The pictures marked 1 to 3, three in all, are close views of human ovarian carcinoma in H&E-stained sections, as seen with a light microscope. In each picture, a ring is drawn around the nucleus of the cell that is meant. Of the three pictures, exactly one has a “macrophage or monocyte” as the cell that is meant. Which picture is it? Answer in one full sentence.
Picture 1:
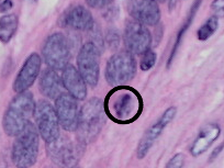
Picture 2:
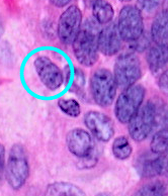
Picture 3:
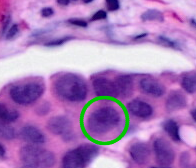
The cell in picture 2 is the “macrophage or monocyte”.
